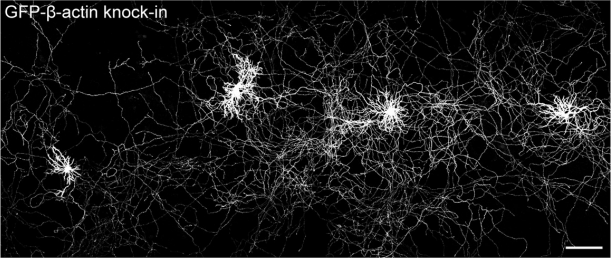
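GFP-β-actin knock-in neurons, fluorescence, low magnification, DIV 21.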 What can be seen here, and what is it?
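Long, thin, less branched fibres leave these cells and wander across the whole field. There they form a loose, criss-crossing network between the widely separated cell bodies.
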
